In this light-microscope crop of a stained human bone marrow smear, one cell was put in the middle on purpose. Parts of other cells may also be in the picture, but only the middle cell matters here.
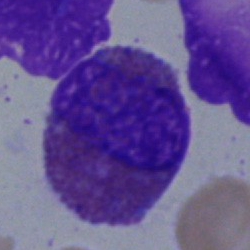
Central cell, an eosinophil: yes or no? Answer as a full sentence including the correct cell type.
Yes, the cell in the middle has the identity of an eosinophil.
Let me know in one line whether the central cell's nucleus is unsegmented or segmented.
See how the nucleus sits as one compact round, oval or kidney-shaped mass.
